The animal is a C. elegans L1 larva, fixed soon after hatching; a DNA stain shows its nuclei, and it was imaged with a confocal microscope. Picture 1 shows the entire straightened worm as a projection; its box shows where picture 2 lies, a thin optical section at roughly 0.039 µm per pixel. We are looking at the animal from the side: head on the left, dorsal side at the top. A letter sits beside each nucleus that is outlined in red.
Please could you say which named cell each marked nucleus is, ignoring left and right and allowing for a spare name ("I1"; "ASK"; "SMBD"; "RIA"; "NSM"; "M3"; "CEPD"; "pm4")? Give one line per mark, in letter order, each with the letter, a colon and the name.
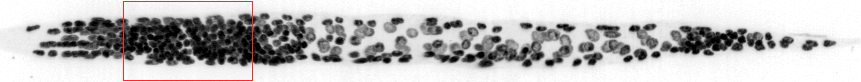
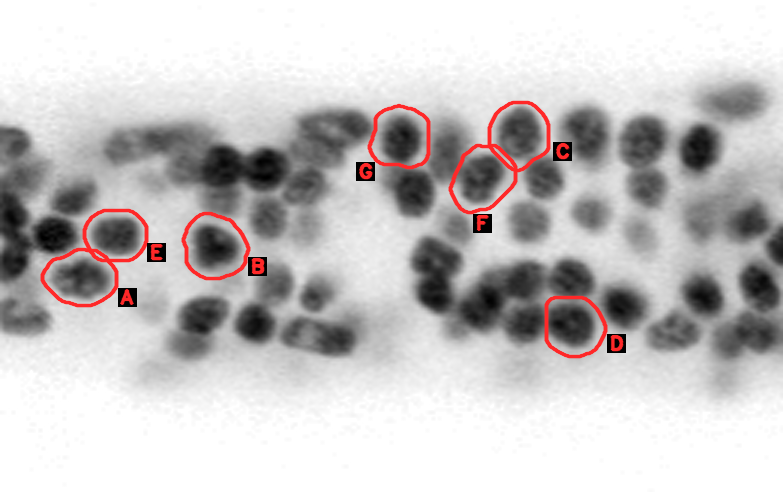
A: pm4
B: M3
C: ASK
D: SMBD
E: NSM
F: RIA
G: CEPD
